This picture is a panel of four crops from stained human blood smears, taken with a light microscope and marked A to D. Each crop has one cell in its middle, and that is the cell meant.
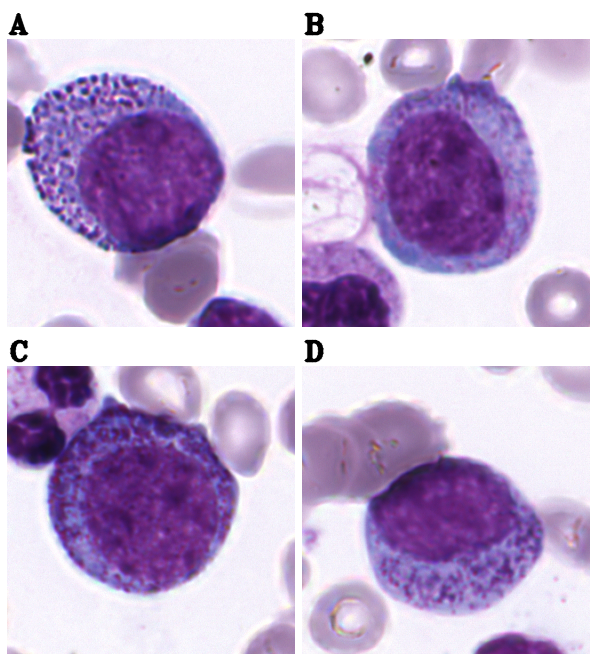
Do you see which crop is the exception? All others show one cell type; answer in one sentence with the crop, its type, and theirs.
Unlike the other crops, which all show promyelocytes, crop D is a myelocyte.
